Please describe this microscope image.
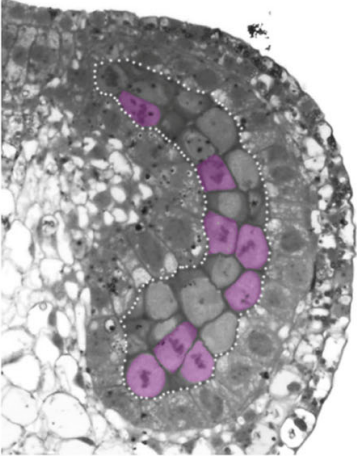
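This transverse section through an anther lobe shows a curved cluster of pollen mother cells at metaphase, outlined by a dotted line, in the middle of the lobe. The cells are large, rounded to polygonal, and pale grey, several of them tinted pink. In the pink ones a dark, compact mass of condensed chromosomes lies near the cell centre. Around the cluster lie several layers of smaller, darker wall cells, and an outer epidermis of small cells with dark granules forms the lobe surface. Toward the inner side the tissue becomes looser, with large pale, vacuolated cells.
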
